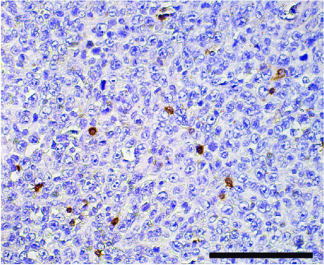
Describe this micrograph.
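This is a solid sheet of tumor cells with scattered small infiltrating cells stained brown. The tumor cells are crowded and uniform in pattern, with large oval blue-violet nuclei, some showing small nucleoli, and little pale cytoplasm. The brown cells are small, round to slightly irregular, and lie singly between tumor cells across the whole field rather than in clusters. Occasional small clear spaces break the otherwise continuous sheet.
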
